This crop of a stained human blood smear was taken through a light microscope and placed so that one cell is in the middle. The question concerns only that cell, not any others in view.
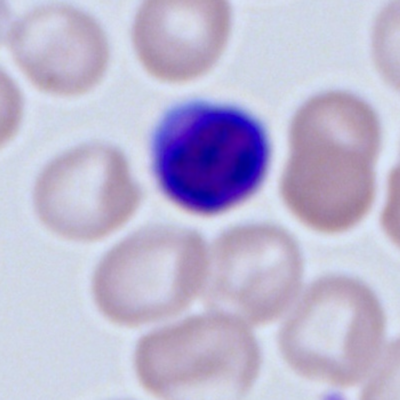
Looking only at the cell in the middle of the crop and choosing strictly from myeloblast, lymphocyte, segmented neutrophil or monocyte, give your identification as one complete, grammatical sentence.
What sits at the centre of this crop is a lymphocyte.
